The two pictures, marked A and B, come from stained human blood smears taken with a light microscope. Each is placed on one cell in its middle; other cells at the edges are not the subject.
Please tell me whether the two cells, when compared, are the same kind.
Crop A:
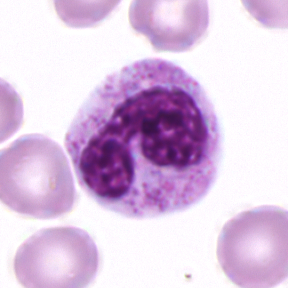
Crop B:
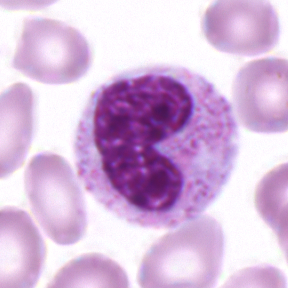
yes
